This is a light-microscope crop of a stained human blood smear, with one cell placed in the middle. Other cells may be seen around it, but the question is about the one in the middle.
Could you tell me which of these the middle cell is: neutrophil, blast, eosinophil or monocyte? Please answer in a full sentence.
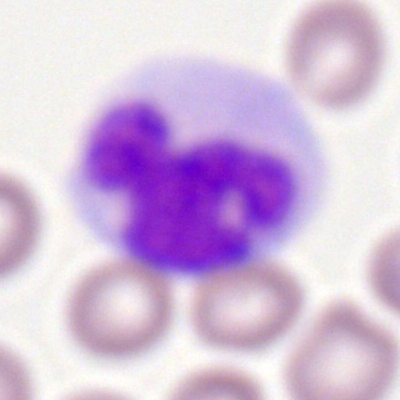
The crop centres on a single cell, and that cell is a monocyte.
